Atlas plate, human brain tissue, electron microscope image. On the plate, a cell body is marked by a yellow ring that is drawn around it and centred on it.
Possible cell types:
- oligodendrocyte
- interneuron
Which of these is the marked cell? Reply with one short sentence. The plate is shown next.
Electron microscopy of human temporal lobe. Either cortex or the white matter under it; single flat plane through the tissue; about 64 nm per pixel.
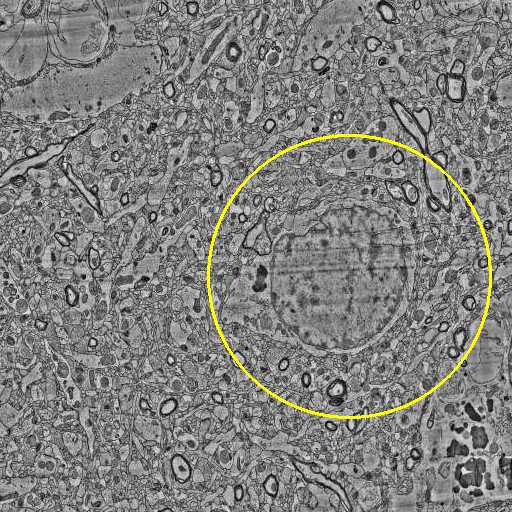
The marked cell is an interneuron.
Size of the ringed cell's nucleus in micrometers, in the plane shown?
About 9 micrometres across in this plane, for the nucleus.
